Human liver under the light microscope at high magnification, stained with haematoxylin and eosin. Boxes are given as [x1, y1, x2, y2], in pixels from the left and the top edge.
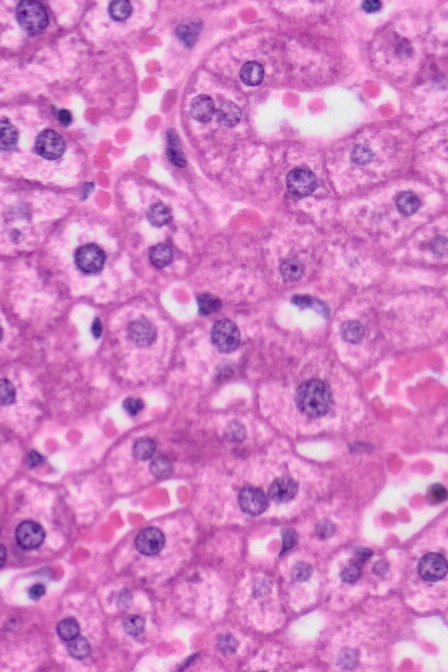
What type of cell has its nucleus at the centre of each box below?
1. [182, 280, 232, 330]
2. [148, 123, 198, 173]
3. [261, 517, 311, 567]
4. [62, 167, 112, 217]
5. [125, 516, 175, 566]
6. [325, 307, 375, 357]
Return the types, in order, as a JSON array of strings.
["endothelial cell", "Kupffer cell", "endothelial cell", "endothelial cell", "hepatocyte", "hepatocyte"]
